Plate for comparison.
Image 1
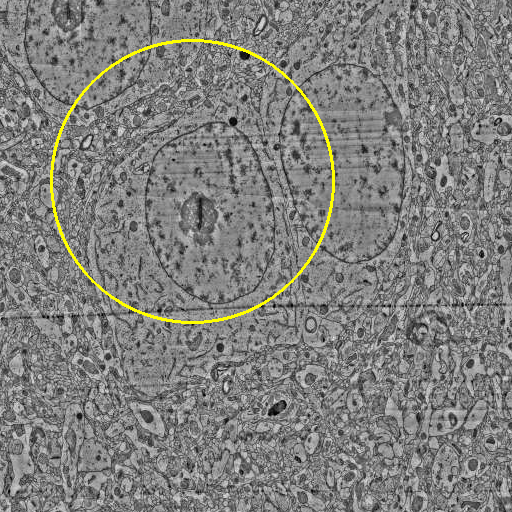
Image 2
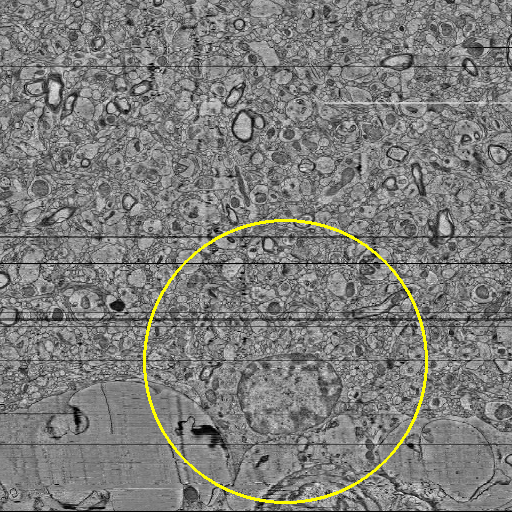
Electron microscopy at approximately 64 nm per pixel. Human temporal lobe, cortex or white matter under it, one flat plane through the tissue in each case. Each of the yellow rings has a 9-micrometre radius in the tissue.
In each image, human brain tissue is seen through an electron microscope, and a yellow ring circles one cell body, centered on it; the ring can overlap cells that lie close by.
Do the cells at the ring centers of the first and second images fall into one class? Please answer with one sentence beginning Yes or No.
No, the first and second images show two classes of cell at the ring centers.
